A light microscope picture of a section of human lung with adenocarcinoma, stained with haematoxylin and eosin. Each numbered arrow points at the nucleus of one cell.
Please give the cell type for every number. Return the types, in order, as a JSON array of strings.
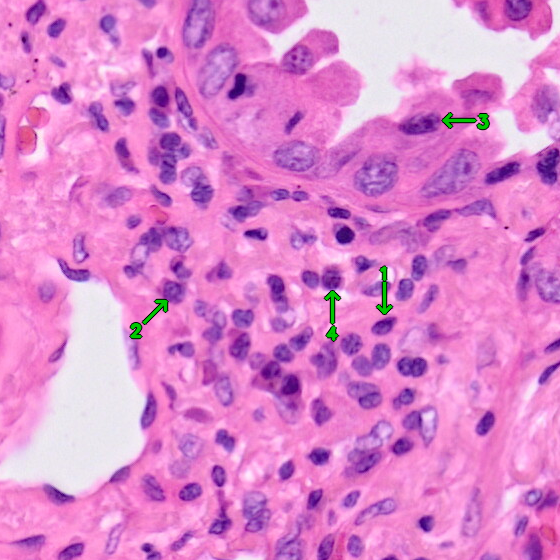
["lymphocyte", "plasma cell", "carcinoma cell", "plasma cell"]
